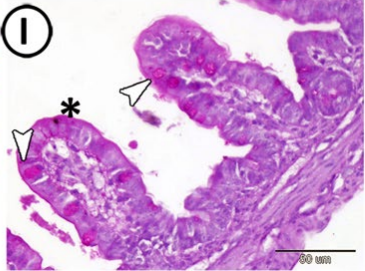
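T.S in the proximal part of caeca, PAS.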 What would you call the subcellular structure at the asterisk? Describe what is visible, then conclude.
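The asterisk sits at the apical luminal surface of the epithelium lining a fold. So: microvilli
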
